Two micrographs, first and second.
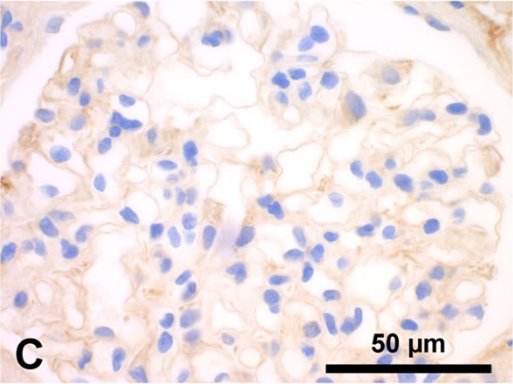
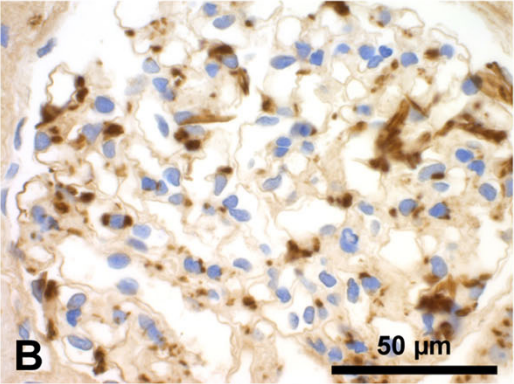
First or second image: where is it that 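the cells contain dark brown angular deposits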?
The second image.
